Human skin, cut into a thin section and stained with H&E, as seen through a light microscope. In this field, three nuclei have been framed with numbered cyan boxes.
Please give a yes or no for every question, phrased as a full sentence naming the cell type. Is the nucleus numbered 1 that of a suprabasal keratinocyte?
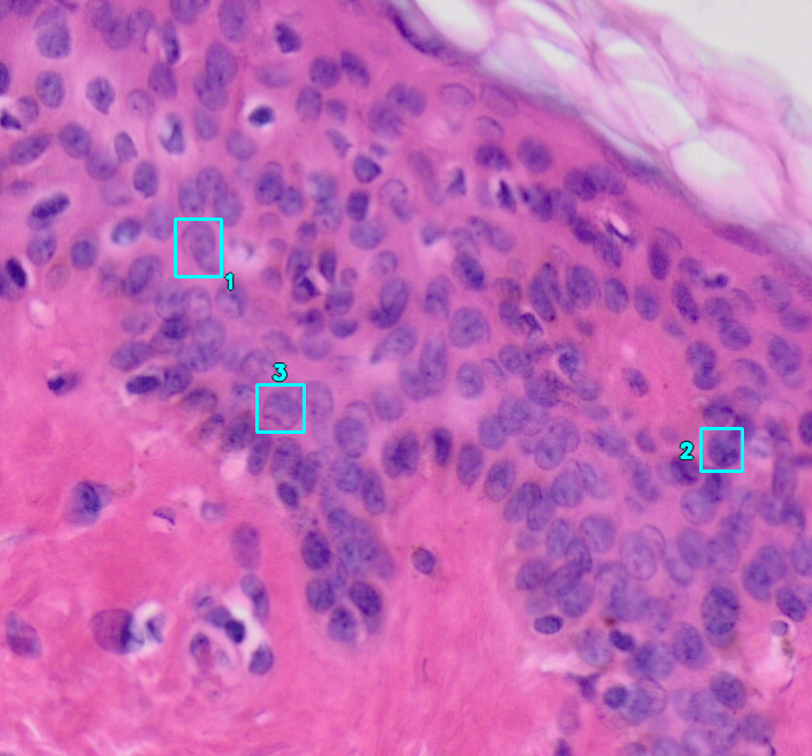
Yes, the numbered cell 1 is a suprabasal keratinocyte.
